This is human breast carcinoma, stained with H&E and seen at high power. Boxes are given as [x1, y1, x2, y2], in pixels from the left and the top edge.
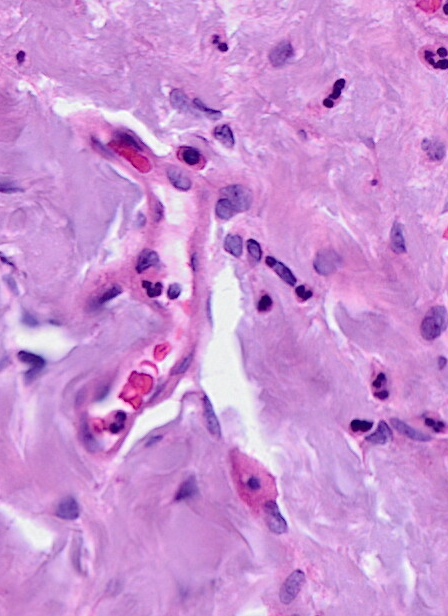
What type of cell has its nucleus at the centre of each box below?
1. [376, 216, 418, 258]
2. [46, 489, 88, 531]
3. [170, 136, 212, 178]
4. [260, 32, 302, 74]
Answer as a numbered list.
1. fibroblast
2. fibroblast
3. mast cell
4. fibroblast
